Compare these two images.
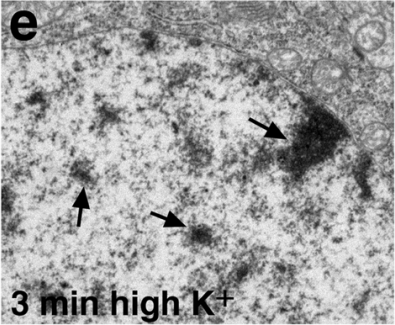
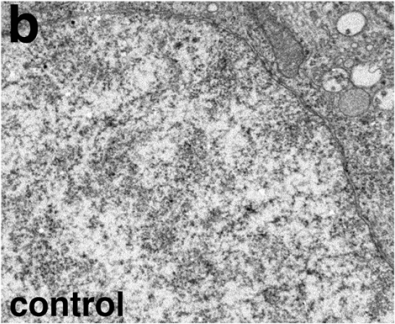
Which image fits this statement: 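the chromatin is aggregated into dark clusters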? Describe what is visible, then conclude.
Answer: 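The first image. First image: discrete dense dark patches stand out in a pale nucleoplasm.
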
